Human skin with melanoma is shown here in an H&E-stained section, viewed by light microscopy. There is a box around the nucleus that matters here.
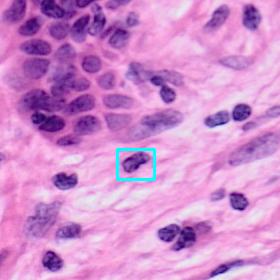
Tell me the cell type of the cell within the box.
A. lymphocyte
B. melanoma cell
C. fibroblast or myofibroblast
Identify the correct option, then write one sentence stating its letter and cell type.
As stated in option A, the cell within the box is a lymphocyte.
